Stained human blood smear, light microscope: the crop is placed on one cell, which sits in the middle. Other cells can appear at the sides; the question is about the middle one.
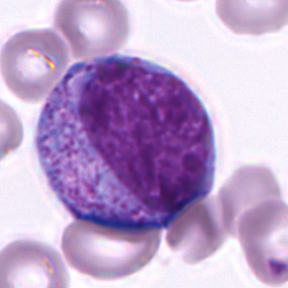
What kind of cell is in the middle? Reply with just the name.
promyelocyte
